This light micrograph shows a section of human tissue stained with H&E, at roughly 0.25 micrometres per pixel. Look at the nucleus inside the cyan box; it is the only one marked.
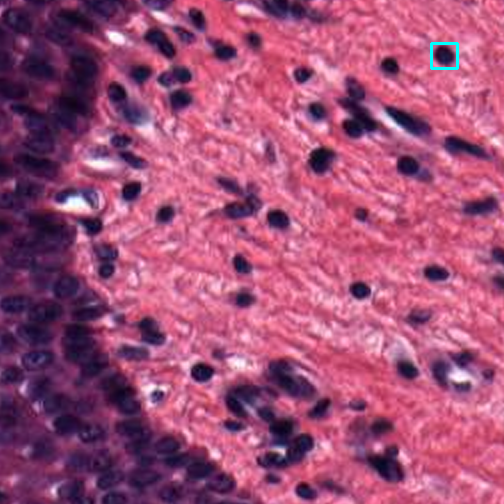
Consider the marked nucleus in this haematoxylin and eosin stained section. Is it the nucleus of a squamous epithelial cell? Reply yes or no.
no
